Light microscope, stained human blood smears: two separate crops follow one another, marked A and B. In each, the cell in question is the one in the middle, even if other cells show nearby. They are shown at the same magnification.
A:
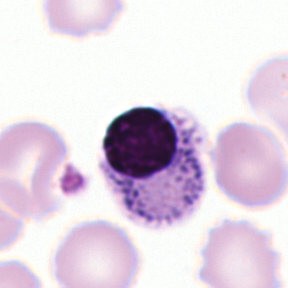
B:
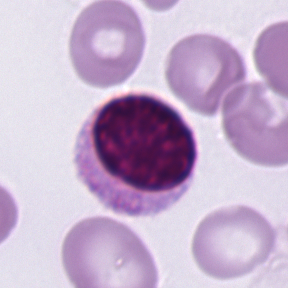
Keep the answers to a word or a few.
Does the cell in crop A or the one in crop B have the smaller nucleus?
A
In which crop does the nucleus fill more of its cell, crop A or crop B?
B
